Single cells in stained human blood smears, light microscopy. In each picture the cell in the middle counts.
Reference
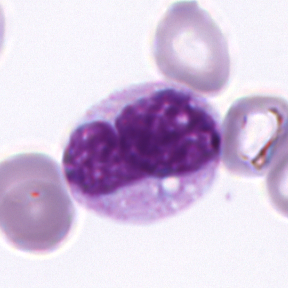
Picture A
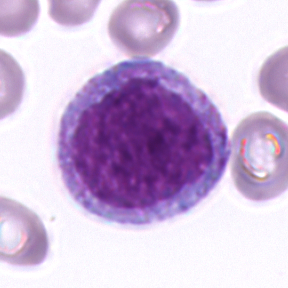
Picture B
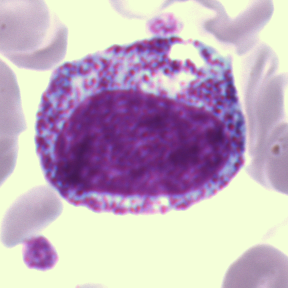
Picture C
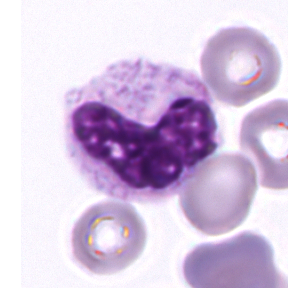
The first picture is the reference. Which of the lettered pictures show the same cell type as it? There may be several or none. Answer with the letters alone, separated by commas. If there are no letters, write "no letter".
C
